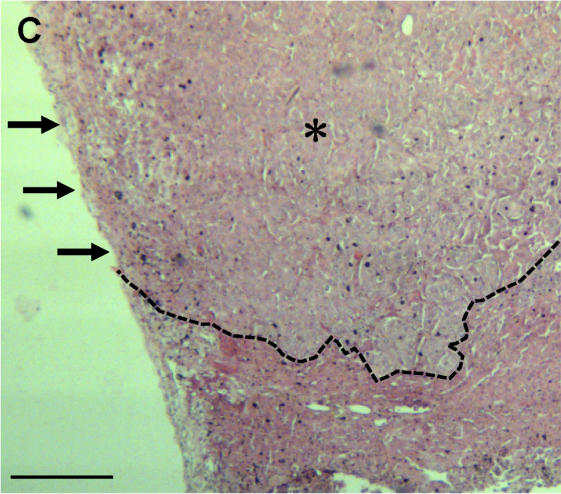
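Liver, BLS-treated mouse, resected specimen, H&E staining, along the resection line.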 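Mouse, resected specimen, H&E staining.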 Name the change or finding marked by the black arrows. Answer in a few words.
Residual cancer tissue.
